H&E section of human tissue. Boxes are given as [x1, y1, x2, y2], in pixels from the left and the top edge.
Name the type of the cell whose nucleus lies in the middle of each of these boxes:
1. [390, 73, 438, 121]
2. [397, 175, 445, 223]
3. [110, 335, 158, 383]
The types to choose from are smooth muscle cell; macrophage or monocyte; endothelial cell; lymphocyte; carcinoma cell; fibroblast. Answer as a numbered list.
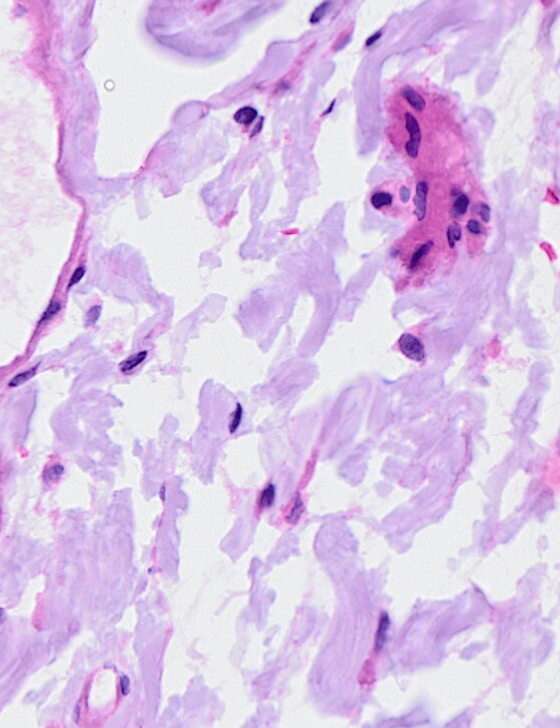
1. smooth muscle cell
2. smooth muscle cell
3. fibroblast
